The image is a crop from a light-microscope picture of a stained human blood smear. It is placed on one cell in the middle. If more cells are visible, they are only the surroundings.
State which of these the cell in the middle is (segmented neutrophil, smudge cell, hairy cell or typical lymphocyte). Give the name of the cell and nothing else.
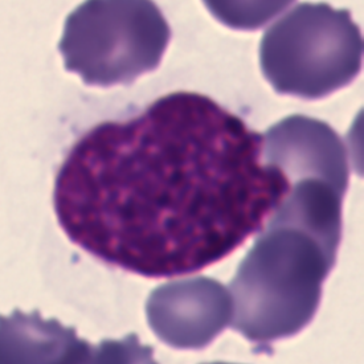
smudge cell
